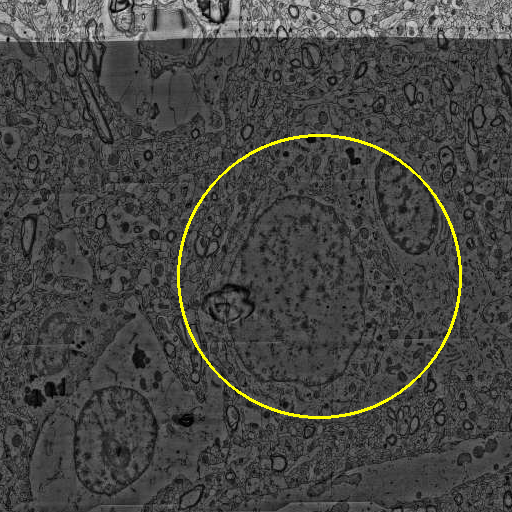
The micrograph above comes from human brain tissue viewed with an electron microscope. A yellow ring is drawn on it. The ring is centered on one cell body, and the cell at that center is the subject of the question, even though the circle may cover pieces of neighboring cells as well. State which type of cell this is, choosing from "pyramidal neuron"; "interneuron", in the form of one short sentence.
The cell the ring is centered on is an interneuron.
